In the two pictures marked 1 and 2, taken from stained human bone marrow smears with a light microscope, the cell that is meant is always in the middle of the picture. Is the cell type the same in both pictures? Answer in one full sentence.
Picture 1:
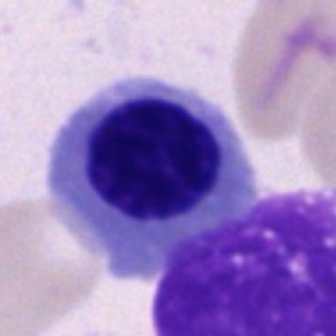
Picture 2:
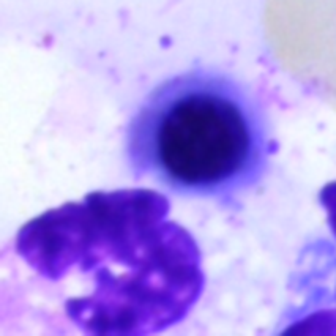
Yes, they are the same type: both are erythroblasts.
